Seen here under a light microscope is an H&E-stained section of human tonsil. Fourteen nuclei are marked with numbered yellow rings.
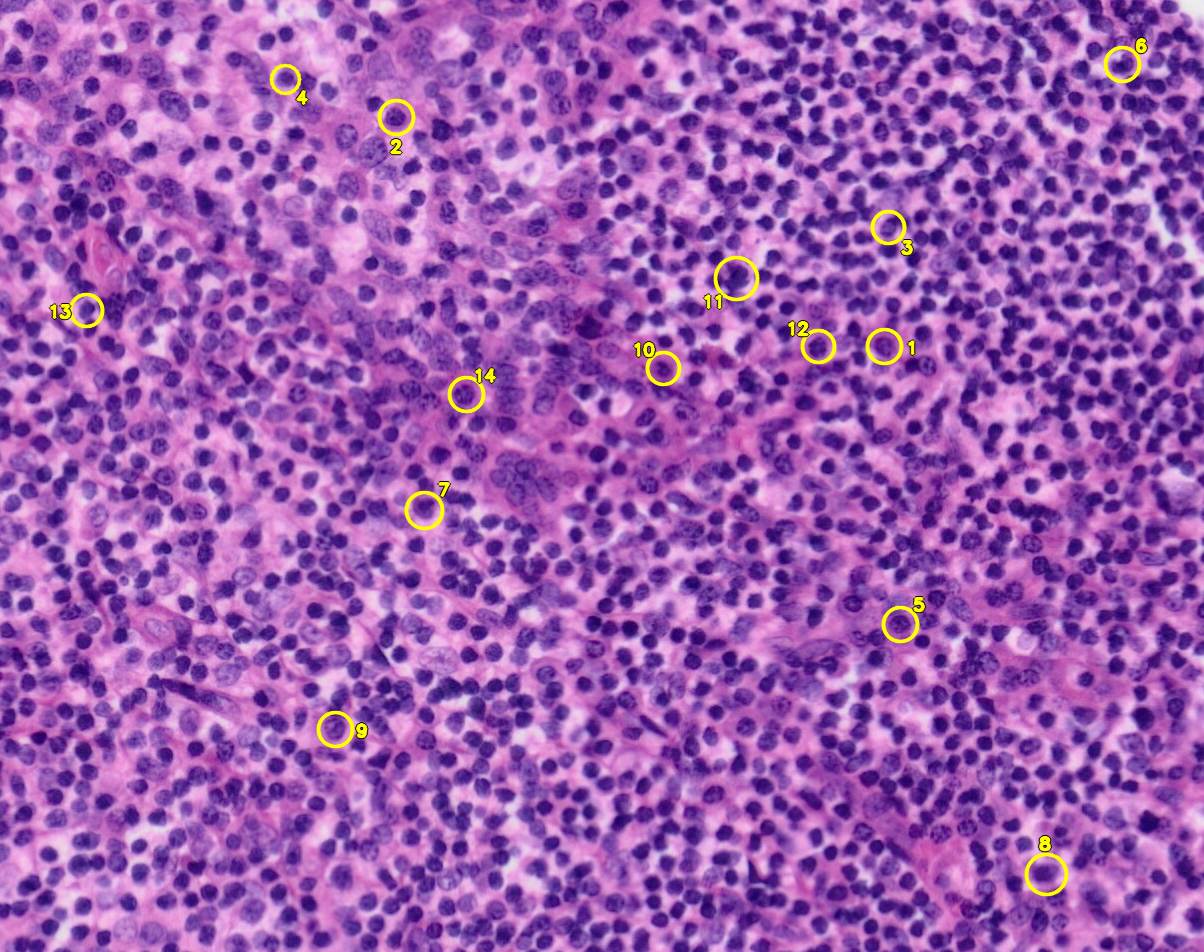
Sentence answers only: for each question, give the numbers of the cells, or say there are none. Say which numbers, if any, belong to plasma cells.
The cells tagged 1, 2, 5, 9, 10, 12 and 14 are plasma cells in this tissue section.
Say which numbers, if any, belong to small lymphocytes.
The cells numbered 3, 6 and 13 are of the kind known as small lymphocytes.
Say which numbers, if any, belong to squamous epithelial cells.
The cell bearing the number 4 is a squamous epithelial cell, unlike the rest of the numbered cells.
